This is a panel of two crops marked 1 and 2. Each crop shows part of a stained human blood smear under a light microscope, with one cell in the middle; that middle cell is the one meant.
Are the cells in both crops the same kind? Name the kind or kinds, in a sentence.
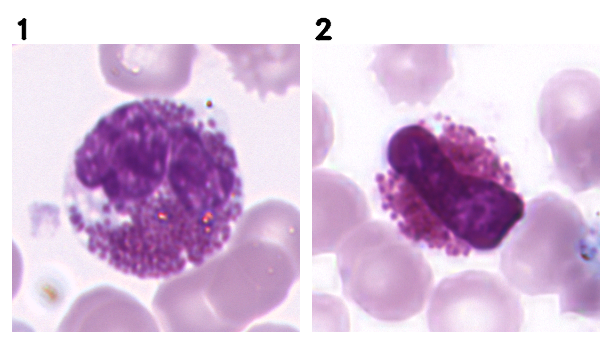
Yes, both crops show eosinophils in the middle.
